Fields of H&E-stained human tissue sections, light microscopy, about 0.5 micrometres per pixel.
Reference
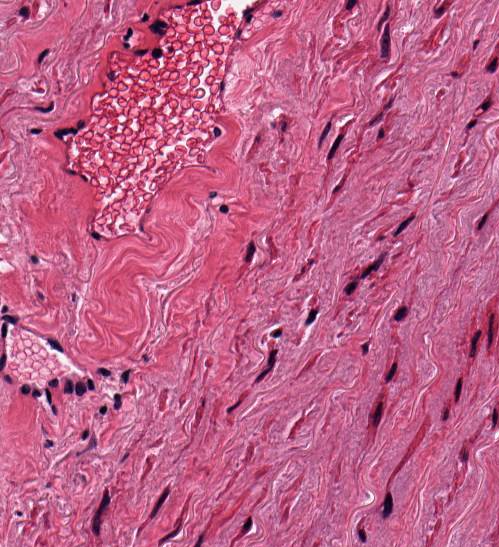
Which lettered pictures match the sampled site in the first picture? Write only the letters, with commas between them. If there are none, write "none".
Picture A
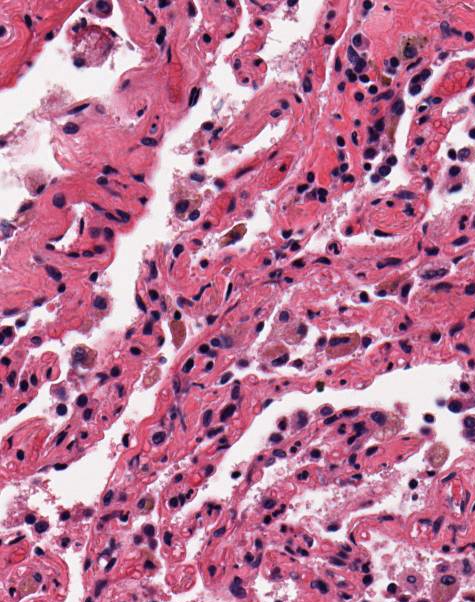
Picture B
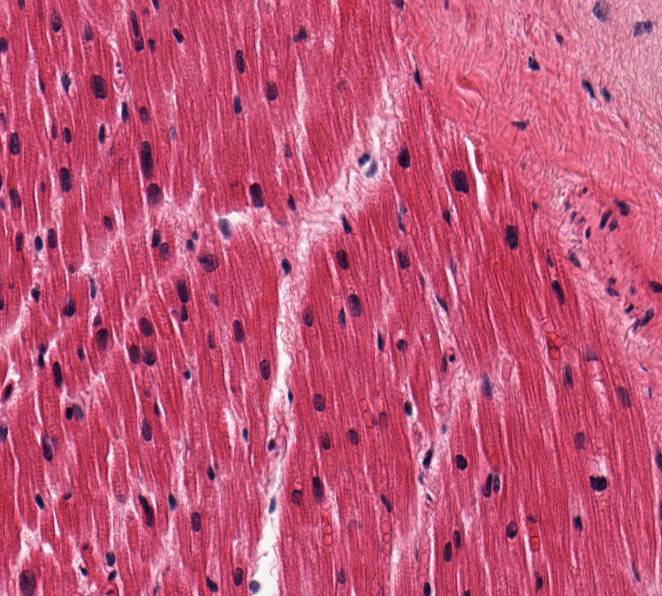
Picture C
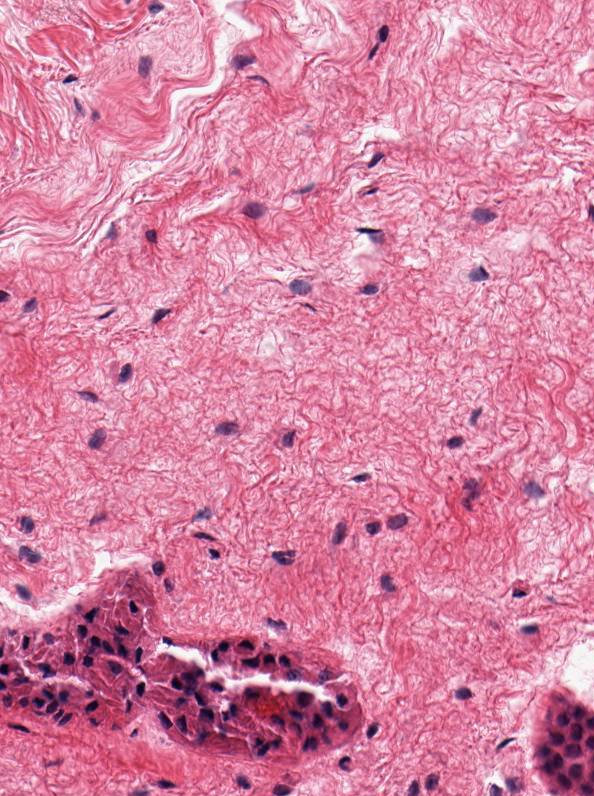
none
